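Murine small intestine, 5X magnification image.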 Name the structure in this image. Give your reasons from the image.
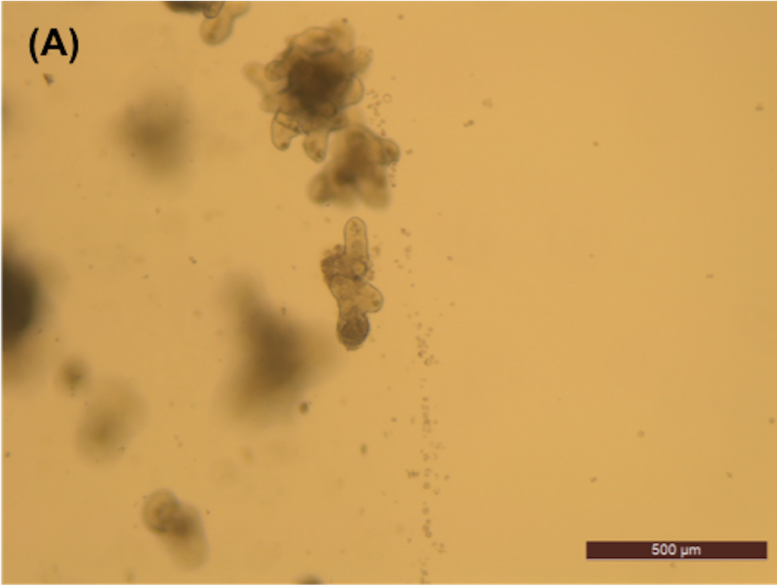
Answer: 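Three-dimensional translucent epithelial bodies float in a gel-like background. The structure at top has several rounded buds projecting from a darker central body.
Organoid.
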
